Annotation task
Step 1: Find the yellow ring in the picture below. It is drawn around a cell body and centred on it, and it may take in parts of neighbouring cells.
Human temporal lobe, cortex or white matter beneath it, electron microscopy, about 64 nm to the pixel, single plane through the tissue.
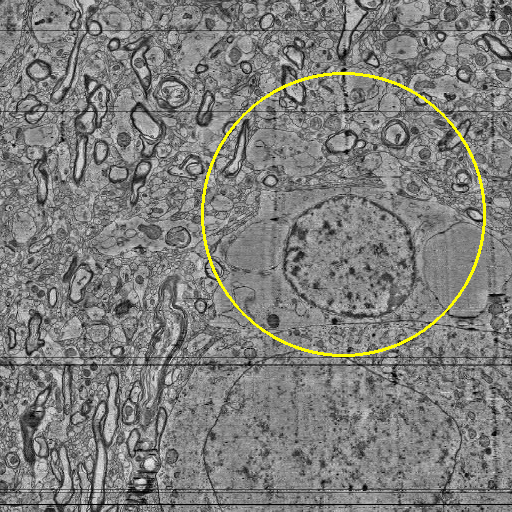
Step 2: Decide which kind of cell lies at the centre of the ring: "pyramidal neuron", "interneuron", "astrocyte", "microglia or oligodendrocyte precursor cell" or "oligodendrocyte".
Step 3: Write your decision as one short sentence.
The kind of cell at the ring's centre is an astrocyte.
